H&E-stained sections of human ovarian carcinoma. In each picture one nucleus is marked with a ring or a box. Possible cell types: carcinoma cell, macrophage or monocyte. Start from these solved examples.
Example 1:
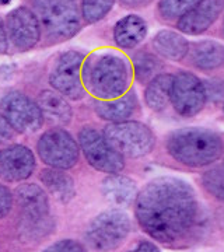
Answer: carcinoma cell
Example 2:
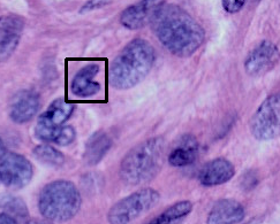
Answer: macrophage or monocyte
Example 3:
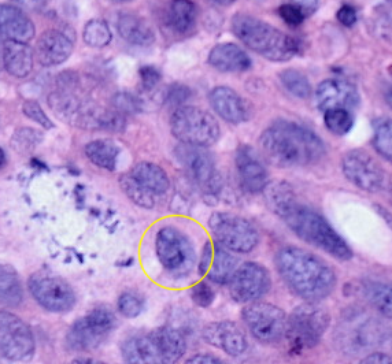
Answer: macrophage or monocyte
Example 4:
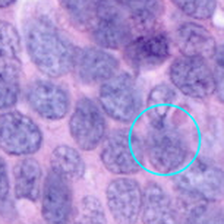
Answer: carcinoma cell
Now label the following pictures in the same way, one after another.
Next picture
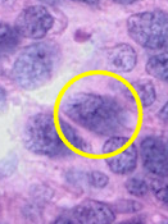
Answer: carcinoma cell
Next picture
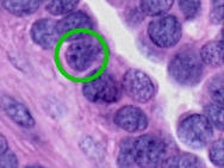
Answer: carcinoma cell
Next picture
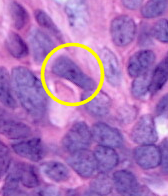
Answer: carcinoma cell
